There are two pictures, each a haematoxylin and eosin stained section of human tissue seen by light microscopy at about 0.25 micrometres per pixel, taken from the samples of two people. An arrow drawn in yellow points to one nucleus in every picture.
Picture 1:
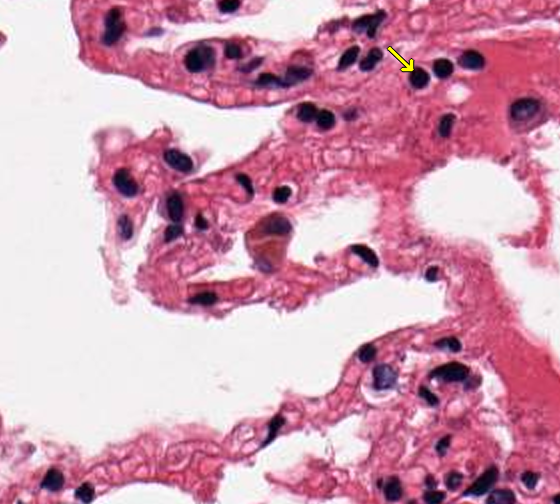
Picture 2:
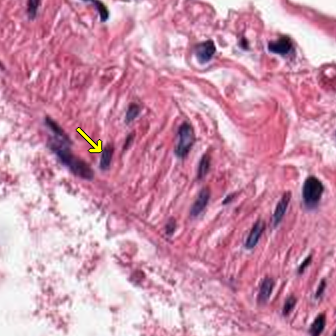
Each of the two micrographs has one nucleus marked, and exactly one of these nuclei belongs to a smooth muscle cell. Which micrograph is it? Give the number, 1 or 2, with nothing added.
2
